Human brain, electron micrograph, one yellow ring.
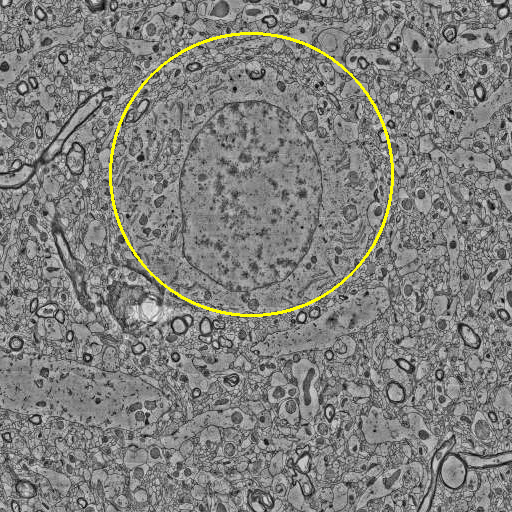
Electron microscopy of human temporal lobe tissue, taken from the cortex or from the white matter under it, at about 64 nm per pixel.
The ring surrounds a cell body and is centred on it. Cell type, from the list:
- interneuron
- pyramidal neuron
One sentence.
The yellow ring circles an interneuron.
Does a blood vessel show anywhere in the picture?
No, the image shows no blood vessel.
